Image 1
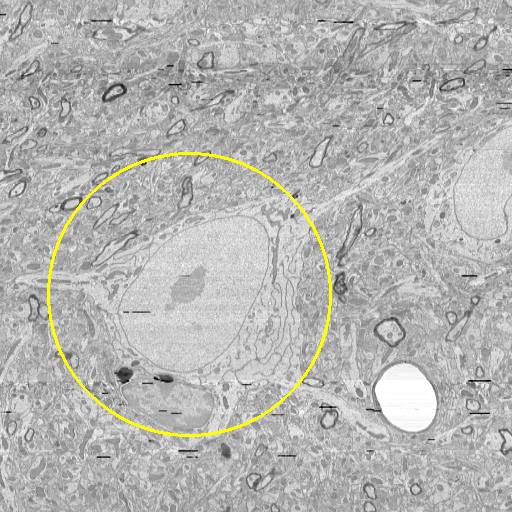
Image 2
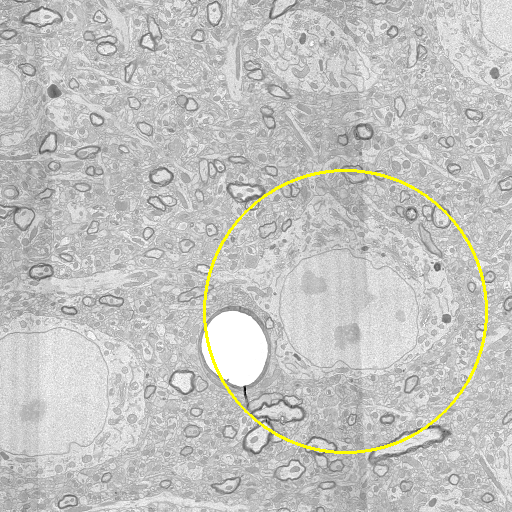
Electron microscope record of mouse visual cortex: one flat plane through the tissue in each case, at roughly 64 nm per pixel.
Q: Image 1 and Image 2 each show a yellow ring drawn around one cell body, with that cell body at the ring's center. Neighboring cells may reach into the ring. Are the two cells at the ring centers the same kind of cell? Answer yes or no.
yes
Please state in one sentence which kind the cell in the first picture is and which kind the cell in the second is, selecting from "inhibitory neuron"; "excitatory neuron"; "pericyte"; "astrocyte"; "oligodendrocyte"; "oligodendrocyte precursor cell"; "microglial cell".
Each of the two cells is an excitatory neuron.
